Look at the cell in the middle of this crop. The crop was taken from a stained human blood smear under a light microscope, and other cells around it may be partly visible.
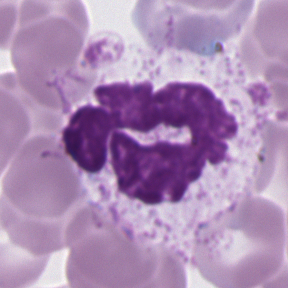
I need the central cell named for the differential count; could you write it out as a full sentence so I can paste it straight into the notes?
For this crop, the cell in the middle is a segmented neutrophil.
